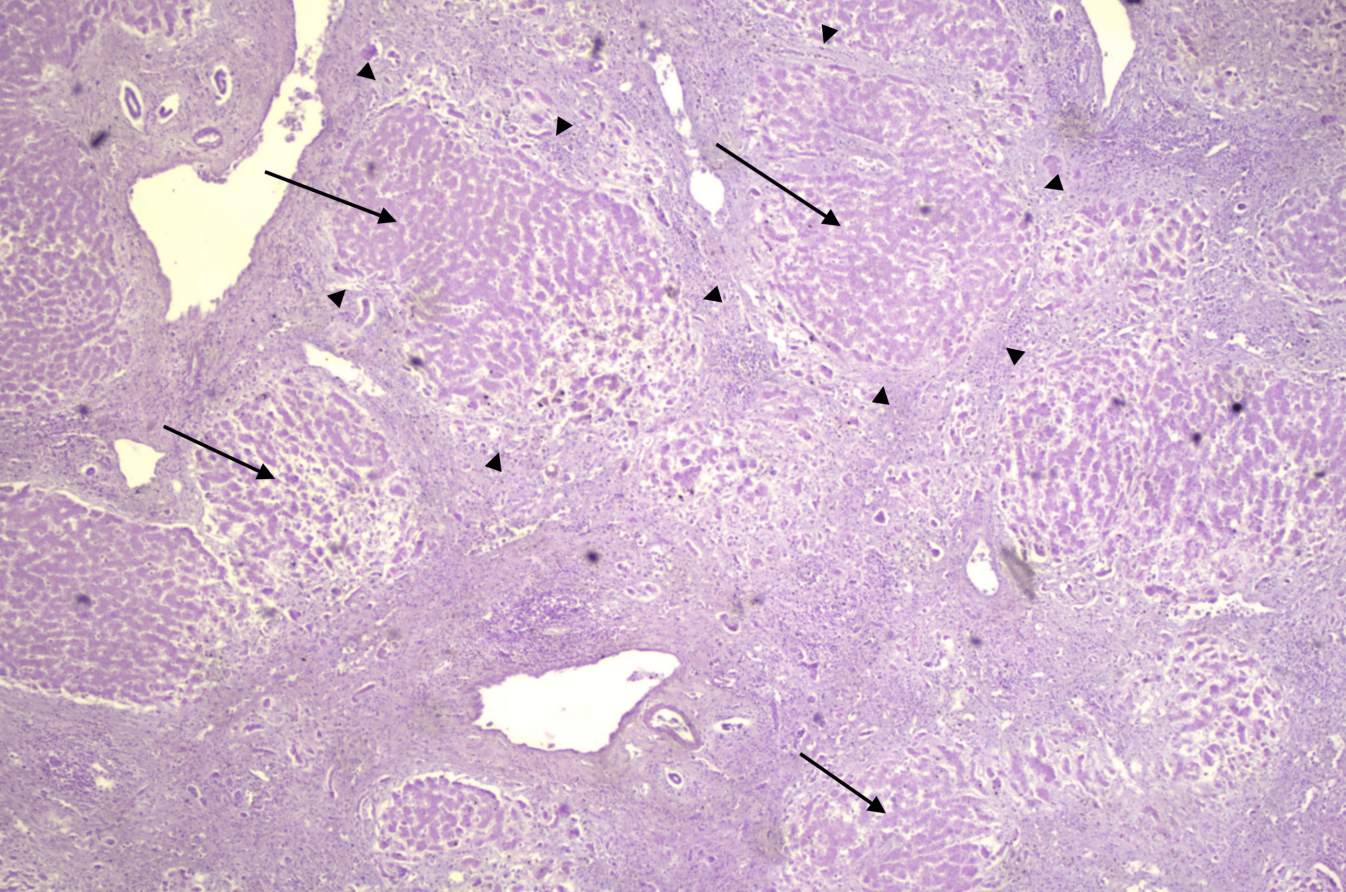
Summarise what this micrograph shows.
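This low-power view of liver shows the parenchyma broken up into rounded regenerative nodules of hepatocytes by wide septa of fibrosis. The nodules are made of pink-purple hepatocyte plates, with no regular lobular pattern visible at this magnification. The septa are broad, paler bands of connective tissue that join one another and surround each nodule. Within the septa lie small ductular profiles and denser collections of small, darkly stained nuclei. Several larger vessels with open, empty lumina run through the fibrous bands.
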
